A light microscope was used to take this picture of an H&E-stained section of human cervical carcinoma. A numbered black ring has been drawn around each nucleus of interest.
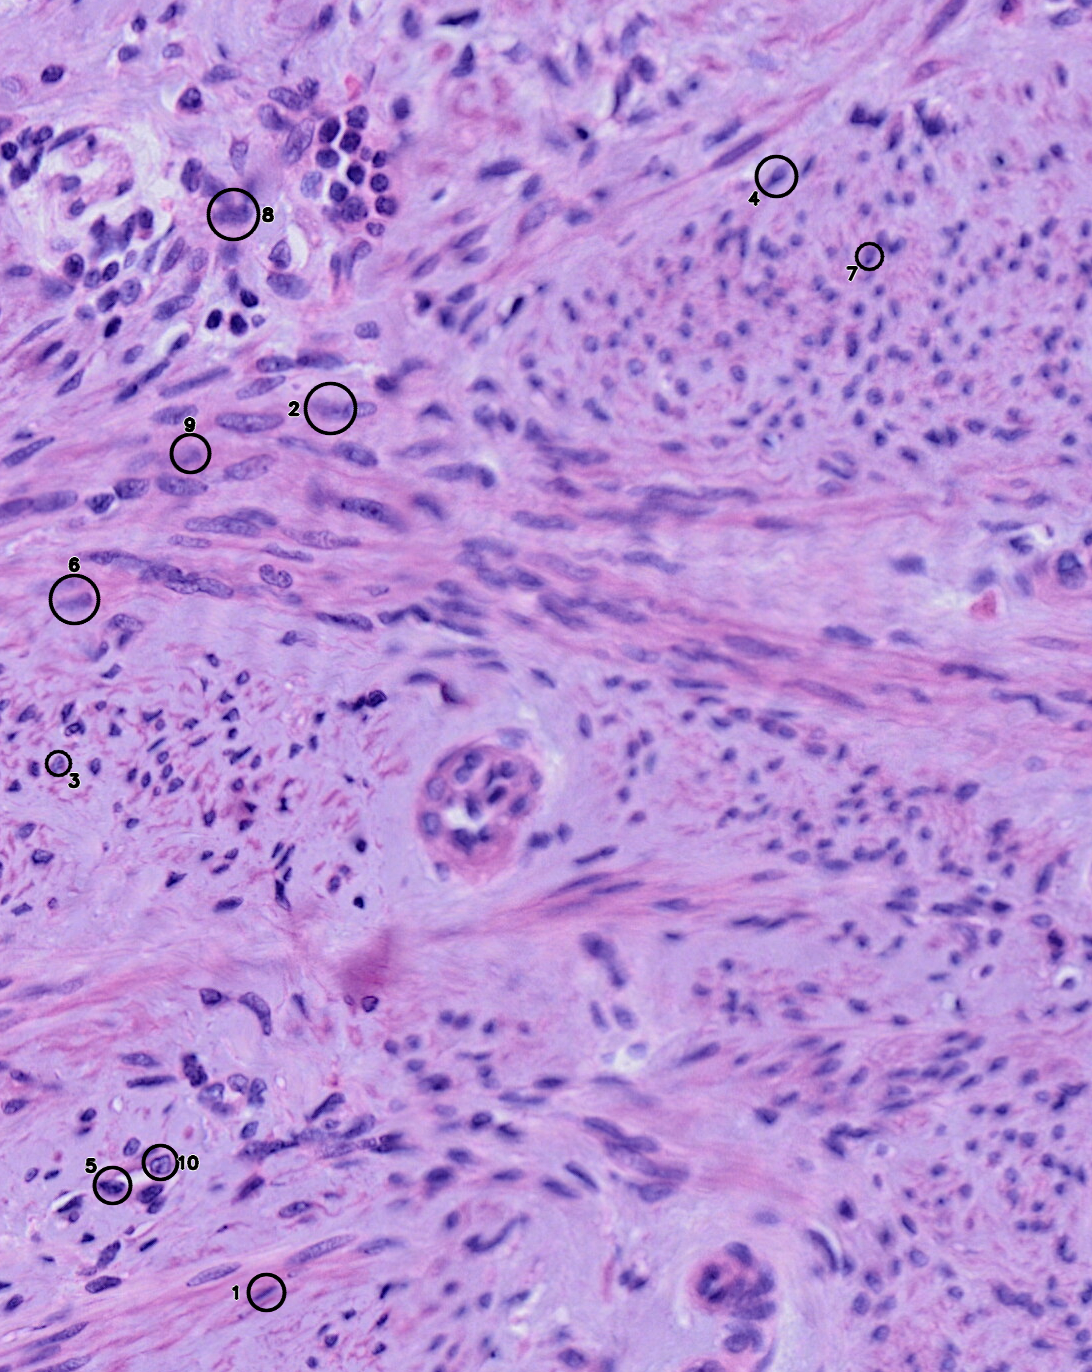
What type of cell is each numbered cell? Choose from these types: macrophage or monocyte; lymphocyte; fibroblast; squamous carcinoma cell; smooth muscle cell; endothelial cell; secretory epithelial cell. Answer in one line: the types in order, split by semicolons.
smooth muscle cell; smooth muscle cell; smooth muscle cell; fibroblast; endothelial cell; smooth muscle cell; smooth muscle cell; fibroblast; smooth muscle cell; endothelial cell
